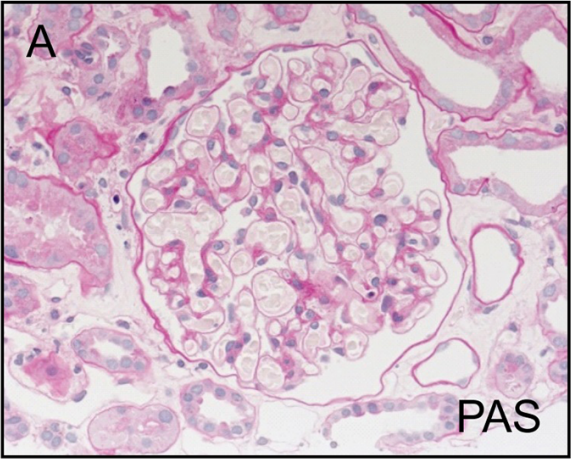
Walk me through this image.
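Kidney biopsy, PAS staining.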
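The capillary loops are open and delicate, outlined by thin magenta basement membranes, and the number of nuclei within the tuft looks normal without crowding or scarring. Around it the tubules show cuboidal epithelium with magenta-lined basement membranes.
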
